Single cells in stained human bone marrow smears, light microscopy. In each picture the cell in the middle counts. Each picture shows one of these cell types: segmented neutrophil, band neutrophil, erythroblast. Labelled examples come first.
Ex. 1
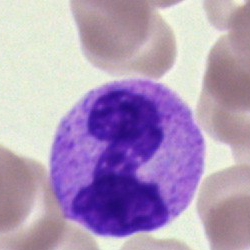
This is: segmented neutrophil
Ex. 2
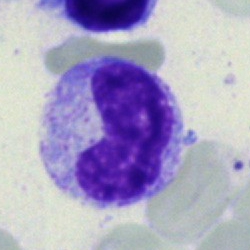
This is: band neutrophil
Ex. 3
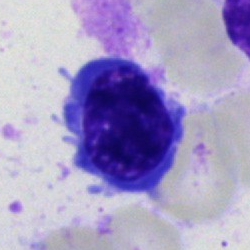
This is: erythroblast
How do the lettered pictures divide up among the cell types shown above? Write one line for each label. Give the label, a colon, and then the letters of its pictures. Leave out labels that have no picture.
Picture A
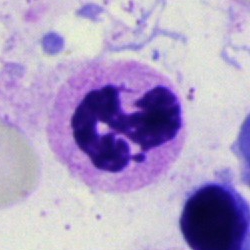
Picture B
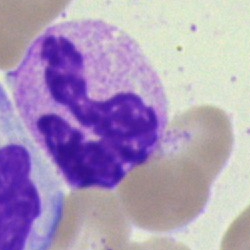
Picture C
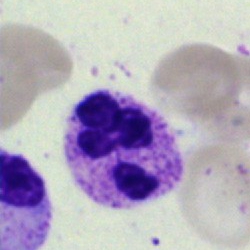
segmented neutrophil: A, B, C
